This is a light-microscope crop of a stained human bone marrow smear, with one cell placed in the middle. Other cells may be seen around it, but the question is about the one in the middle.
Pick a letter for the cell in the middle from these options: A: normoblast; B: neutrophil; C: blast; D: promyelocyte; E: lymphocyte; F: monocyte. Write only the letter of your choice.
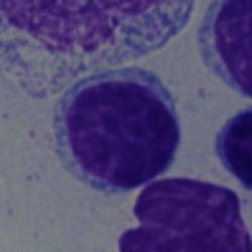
E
